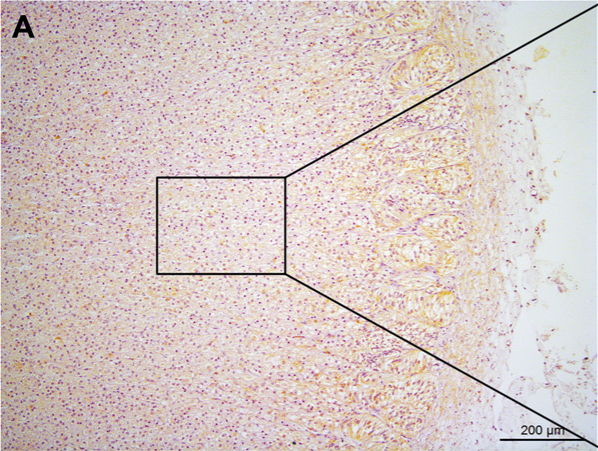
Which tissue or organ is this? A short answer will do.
Adrenal gland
